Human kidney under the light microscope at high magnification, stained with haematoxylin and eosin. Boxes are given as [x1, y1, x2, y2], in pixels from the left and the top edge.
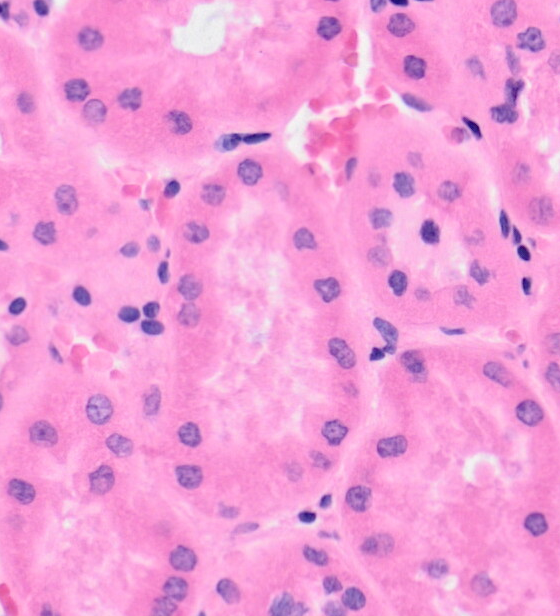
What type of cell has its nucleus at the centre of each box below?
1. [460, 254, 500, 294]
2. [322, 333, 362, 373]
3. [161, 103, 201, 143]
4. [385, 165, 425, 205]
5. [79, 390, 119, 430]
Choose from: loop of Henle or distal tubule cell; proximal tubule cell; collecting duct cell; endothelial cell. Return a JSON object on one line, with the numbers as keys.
{"1": "loop of Henle or distal tubule cell", "2": "proximal tubule cell", "3": "proximal tubule cell", "4": "loop of Henle or distal tubule cell", "5": "proximal tubule cell"}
